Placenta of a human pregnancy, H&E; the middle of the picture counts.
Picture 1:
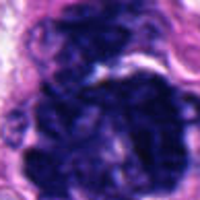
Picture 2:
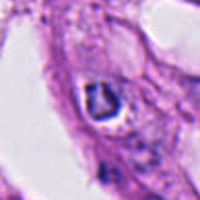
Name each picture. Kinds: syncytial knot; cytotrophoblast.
1: syncytial knot
2: cytotrophoblast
